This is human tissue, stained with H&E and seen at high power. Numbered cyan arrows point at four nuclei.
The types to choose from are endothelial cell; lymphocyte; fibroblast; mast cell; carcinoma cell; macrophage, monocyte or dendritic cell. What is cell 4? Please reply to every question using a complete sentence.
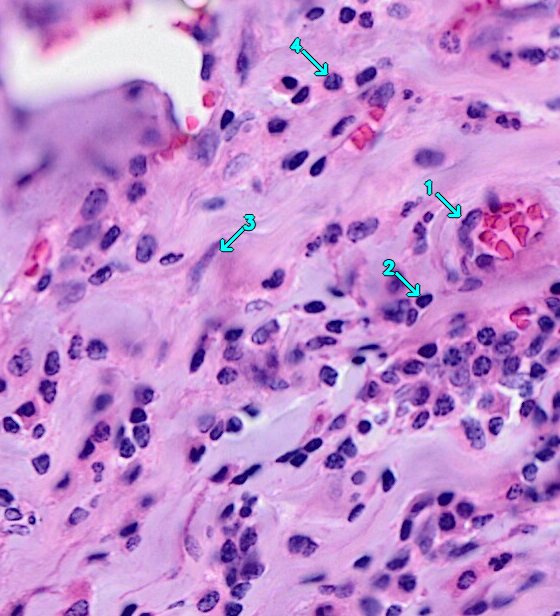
To a mast cell belongs the nucleus marked 4.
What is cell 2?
Identified by the number 2, the cell is a lymphocyte.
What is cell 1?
That cell with number 1 is an endothelial cell.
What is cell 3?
The cell that carries the label 3 is a fibroblast.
